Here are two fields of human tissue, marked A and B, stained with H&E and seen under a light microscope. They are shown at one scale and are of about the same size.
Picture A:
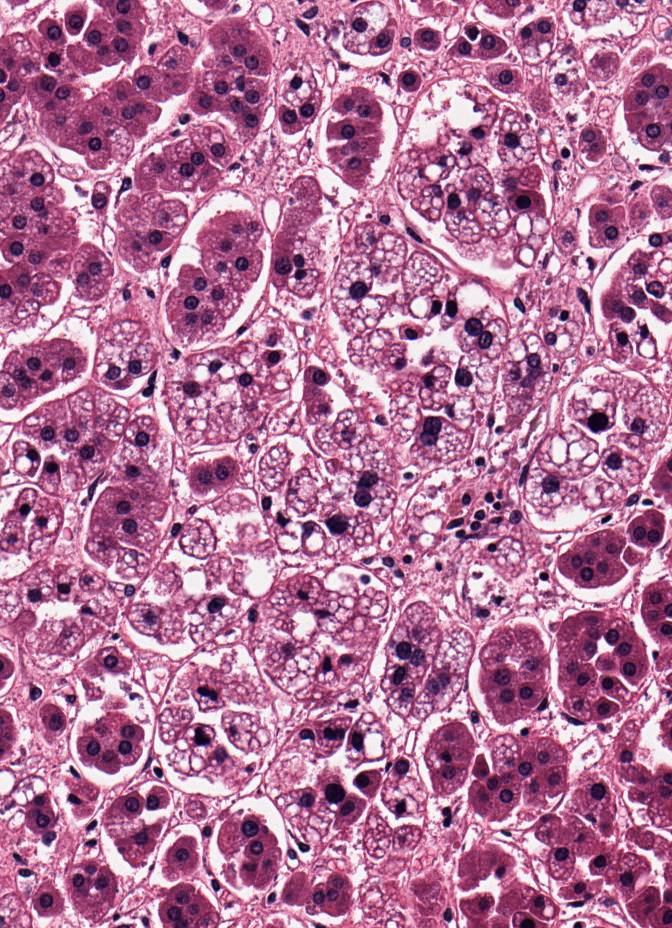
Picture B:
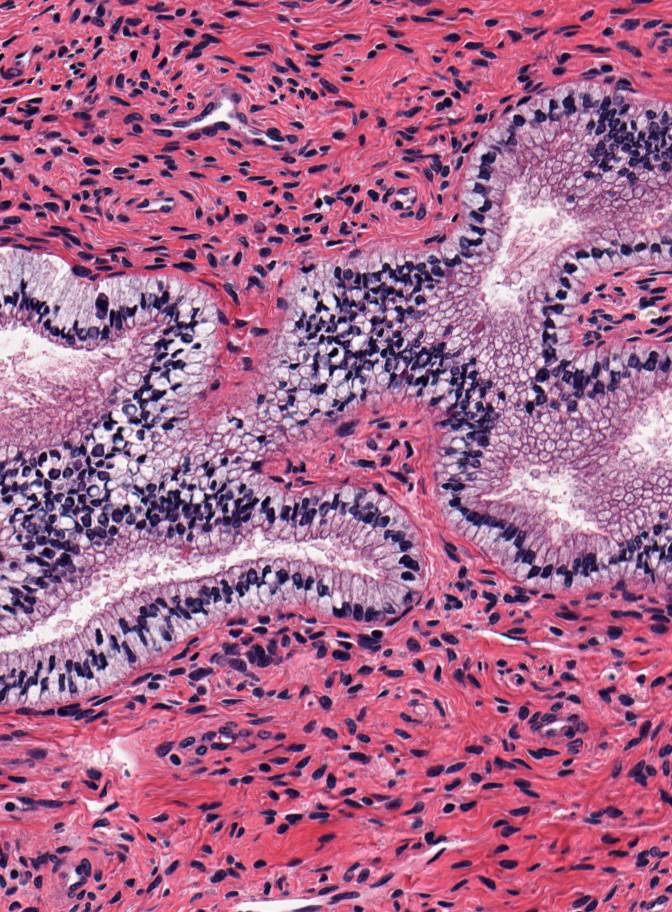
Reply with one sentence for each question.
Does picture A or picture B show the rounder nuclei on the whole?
On the whole the nuclei of picture A are rounder than those of picture B.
